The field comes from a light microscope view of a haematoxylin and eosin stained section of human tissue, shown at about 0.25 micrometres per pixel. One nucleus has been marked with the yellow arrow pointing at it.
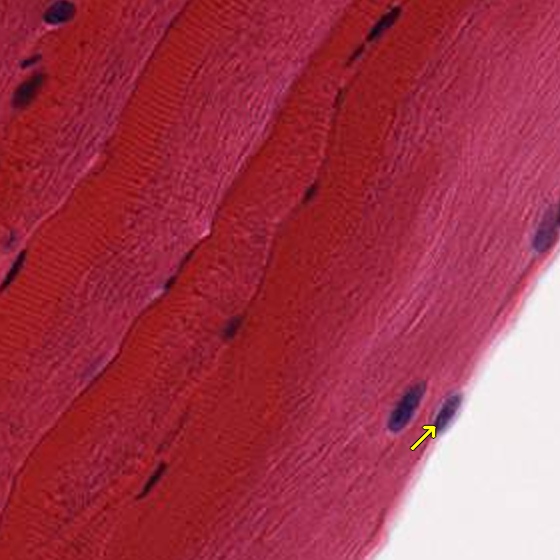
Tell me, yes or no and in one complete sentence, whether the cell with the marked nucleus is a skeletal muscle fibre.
Yes, here the marked nucleus belongs to a skeletal muscle fibre.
